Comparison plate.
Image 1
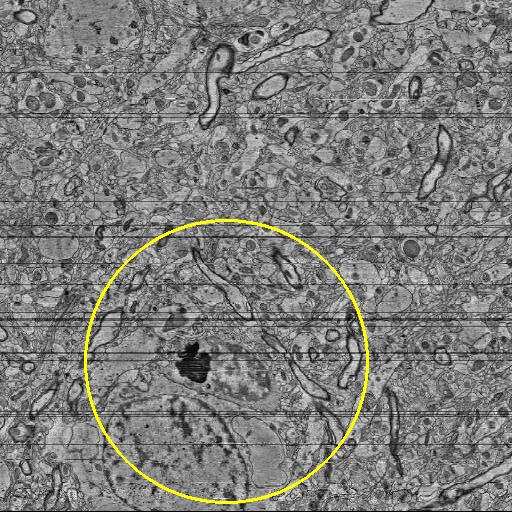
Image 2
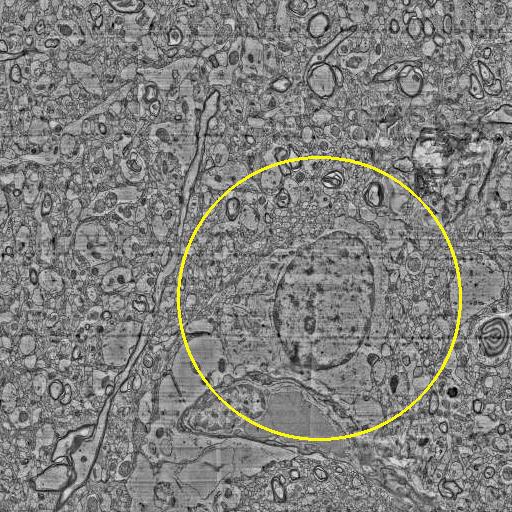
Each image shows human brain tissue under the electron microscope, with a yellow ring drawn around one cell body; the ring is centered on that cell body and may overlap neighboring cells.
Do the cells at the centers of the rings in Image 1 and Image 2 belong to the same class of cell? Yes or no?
no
